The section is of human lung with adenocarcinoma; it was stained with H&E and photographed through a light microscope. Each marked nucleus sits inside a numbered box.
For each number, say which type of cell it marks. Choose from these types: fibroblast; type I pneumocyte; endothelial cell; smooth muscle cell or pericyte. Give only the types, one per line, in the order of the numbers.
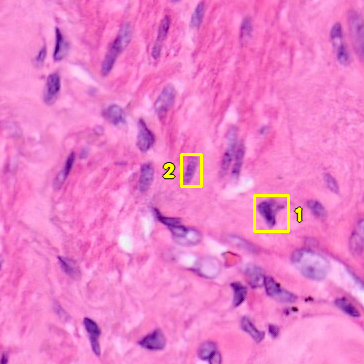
fibroblast
smooth muscle cell or pericyte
